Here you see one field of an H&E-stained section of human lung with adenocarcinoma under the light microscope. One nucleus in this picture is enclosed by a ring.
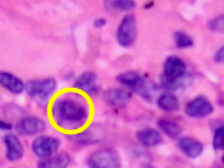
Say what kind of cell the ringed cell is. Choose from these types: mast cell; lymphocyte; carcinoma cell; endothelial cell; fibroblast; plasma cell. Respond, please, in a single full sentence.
On this particular slide, the ringed cell is a plasma cell.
